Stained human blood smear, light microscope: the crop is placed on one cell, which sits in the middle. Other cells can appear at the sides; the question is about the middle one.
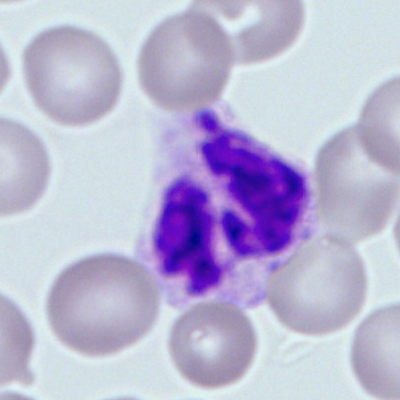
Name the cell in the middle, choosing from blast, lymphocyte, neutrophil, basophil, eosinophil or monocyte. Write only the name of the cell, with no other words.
basophil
